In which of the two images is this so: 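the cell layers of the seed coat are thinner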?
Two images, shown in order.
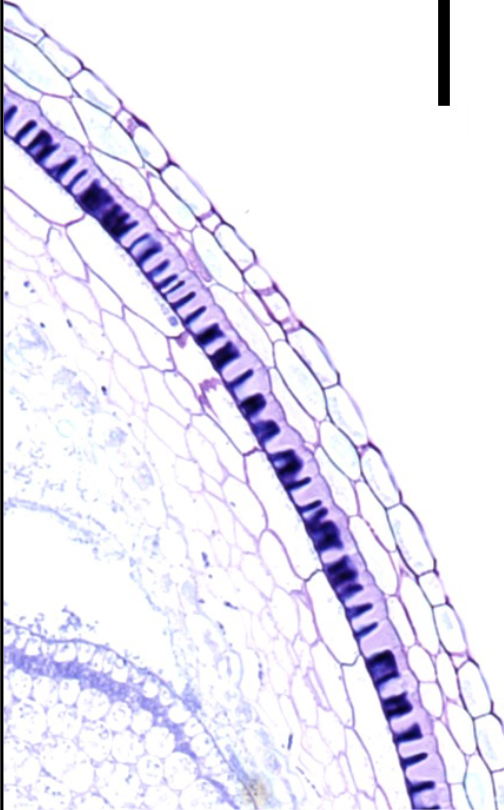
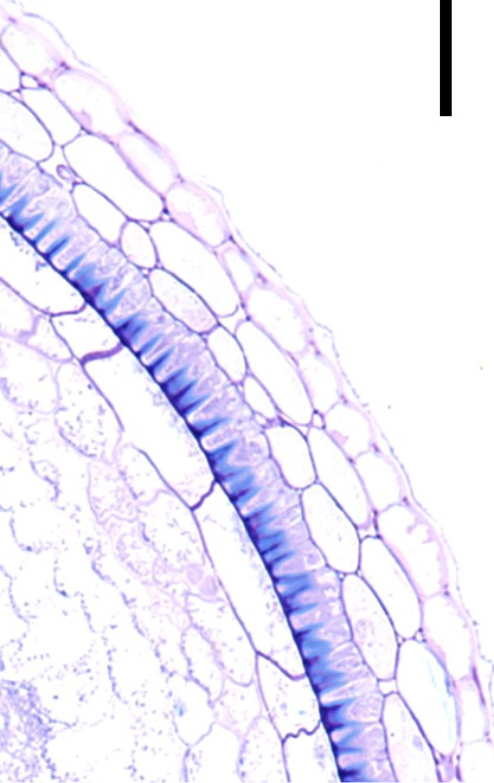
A: The first image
